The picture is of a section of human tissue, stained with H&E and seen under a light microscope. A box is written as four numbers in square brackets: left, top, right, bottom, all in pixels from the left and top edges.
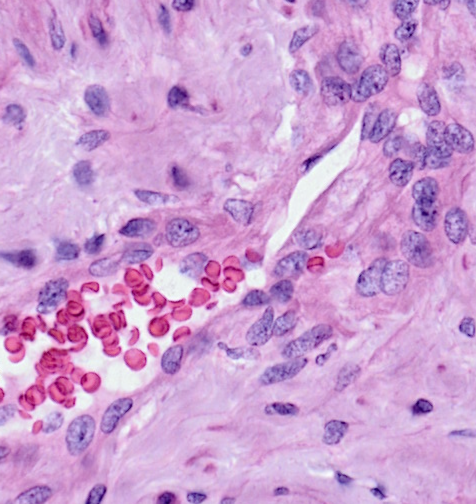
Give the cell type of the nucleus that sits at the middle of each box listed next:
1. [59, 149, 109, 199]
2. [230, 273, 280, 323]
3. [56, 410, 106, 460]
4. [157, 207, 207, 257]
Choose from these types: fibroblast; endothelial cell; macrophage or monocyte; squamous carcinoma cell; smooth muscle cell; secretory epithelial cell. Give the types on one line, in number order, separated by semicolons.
fibroblast; endothelial cell; endothelial cell; endothelial cell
